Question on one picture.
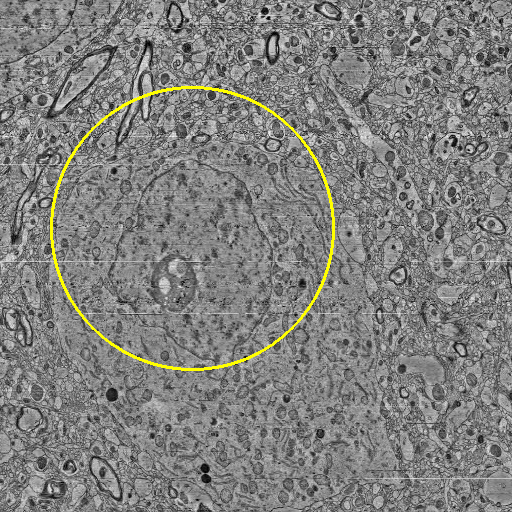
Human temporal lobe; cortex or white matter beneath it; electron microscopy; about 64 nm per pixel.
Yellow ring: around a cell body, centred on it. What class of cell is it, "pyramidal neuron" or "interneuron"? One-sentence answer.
This is an interneuron, the cell the ring is centred on.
